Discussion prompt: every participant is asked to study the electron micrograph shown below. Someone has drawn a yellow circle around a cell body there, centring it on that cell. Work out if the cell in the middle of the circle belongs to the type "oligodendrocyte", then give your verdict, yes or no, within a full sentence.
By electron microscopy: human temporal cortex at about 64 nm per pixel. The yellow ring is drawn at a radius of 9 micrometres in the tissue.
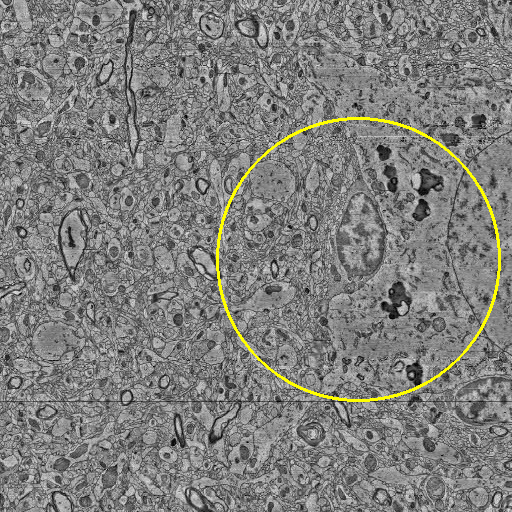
Yes, my verdict is that the cell in the circle's centre is of that type.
